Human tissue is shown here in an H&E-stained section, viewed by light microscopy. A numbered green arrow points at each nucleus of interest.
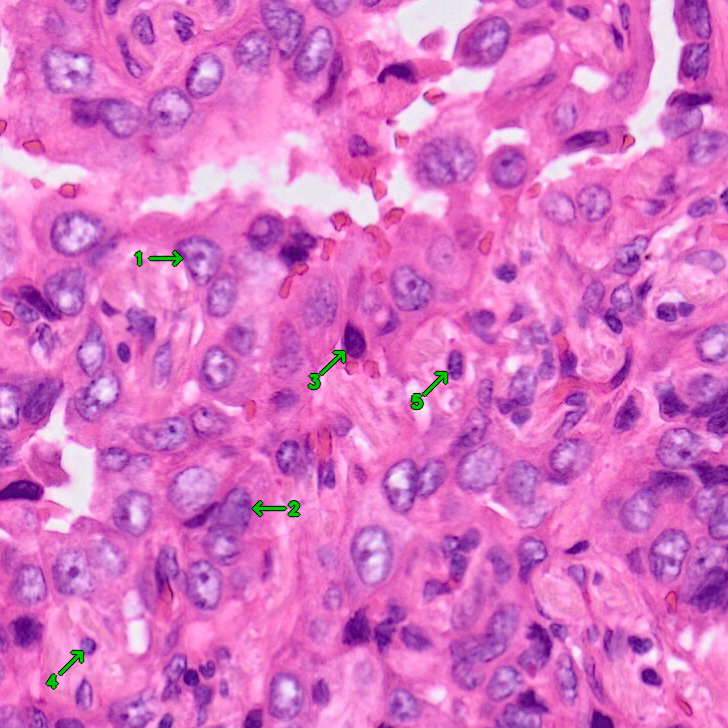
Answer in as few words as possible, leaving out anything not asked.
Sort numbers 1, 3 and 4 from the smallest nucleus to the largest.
4, 3, 1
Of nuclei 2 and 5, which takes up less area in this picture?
5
